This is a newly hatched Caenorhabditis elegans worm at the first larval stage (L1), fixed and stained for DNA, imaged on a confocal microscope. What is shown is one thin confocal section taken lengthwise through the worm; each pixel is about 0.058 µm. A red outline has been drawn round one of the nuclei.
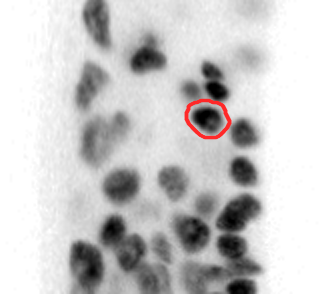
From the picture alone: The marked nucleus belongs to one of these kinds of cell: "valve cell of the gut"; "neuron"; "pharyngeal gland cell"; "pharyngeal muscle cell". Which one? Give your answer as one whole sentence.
The marked cell is a pharyngeal gland cell.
